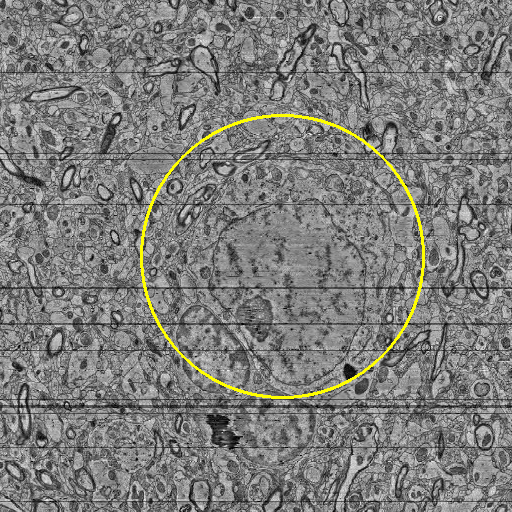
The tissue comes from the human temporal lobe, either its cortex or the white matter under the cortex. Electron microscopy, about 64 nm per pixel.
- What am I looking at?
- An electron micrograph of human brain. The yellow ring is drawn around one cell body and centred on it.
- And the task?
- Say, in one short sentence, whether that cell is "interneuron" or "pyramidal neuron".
The cell in the middle of the ring is a pyramidal neuron.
